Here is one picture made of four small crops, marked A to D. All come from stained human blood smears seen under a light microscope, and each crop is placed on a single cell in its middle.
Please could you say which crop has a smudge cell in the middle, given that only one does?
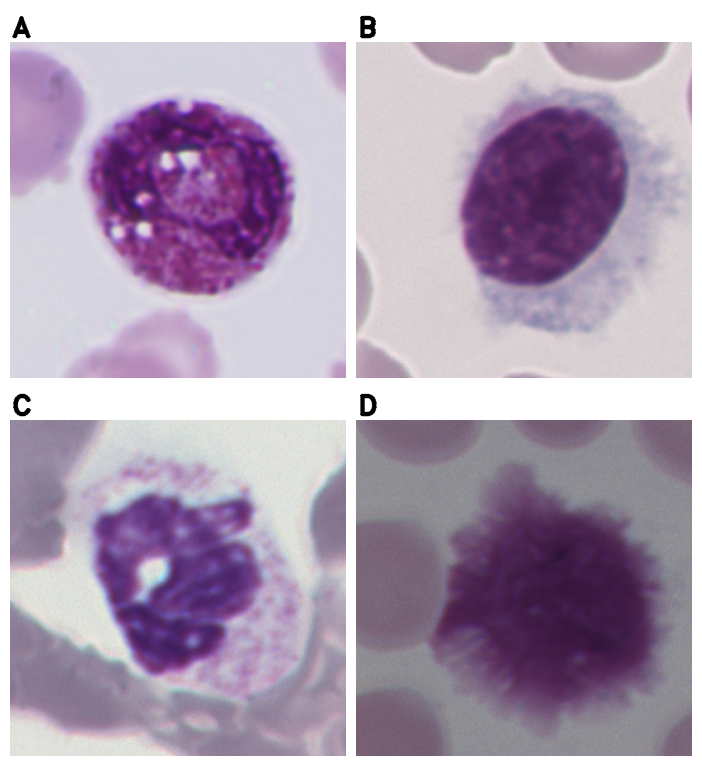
D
